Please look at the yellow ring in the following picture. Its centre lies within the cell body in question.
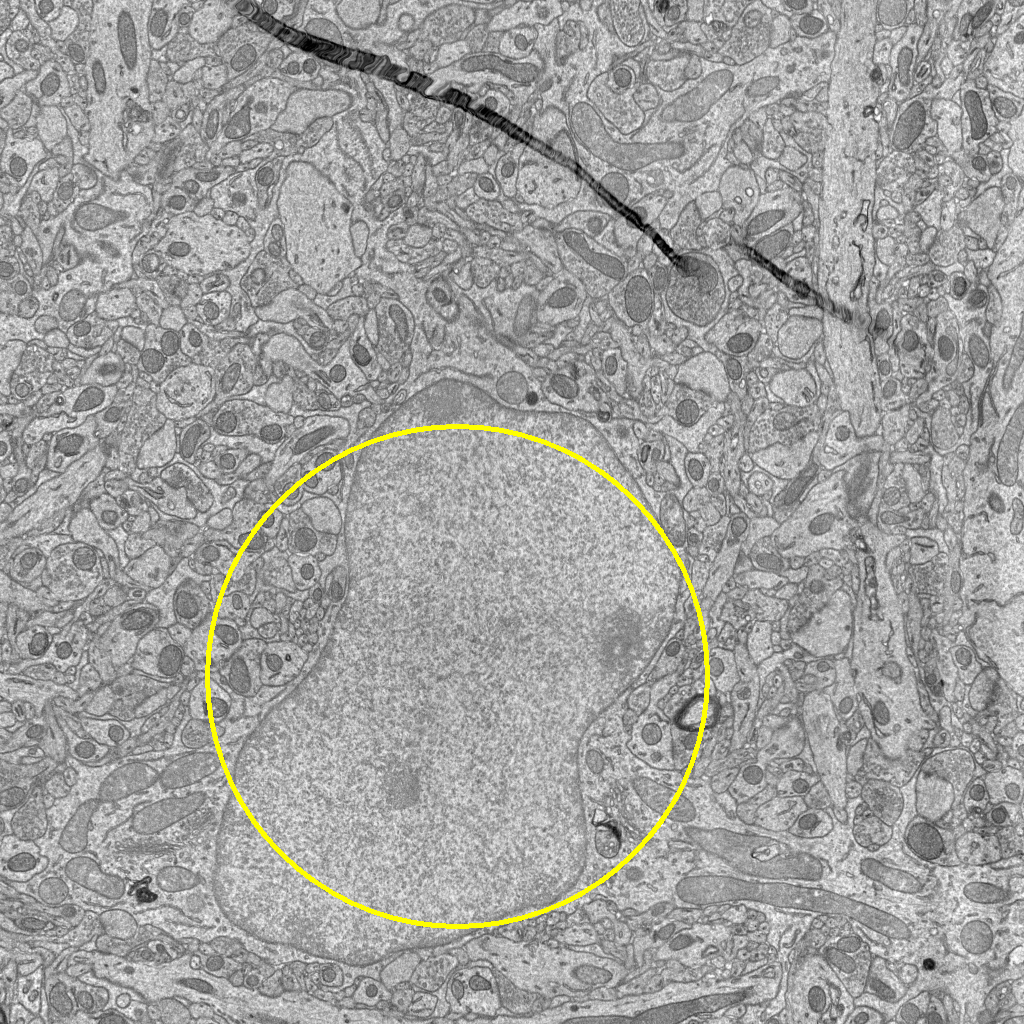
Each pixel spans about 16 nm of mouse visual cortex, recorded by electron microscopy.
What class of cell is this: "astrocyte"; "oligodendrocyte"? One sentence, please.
The centre of the ring lies in the cell body of an astrocyte.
